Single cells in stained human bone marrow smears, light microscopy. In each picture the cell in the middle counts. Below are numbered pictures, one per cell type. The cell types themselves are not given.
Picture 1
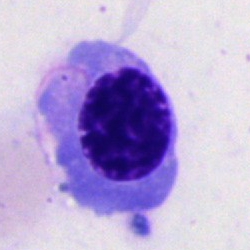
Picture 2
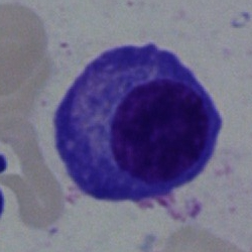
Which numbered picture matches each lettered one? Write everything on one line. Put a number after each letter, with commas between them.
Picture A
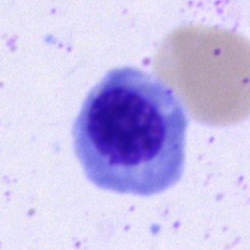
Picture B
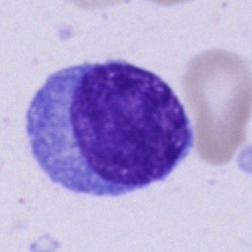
A 1, B 2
